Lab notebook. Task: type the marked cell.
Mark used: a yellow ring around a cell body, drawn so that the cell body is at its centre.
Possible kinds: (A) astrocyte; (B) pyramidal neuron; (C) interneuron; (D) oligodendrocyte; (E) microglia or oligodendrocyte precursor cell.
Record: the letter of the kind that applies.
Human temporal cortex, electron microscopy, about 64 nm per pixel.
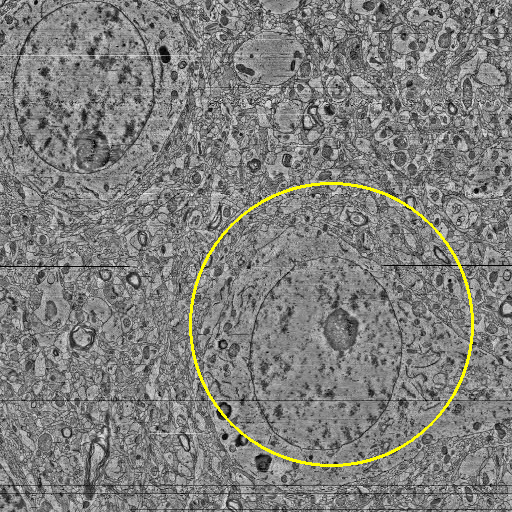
B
